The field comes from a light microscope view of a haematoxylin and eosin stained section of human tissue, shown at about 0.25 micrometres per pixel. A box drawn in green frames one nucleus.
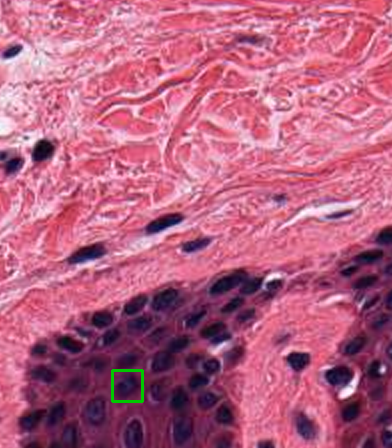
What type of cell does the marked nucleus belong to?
keratinocyte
